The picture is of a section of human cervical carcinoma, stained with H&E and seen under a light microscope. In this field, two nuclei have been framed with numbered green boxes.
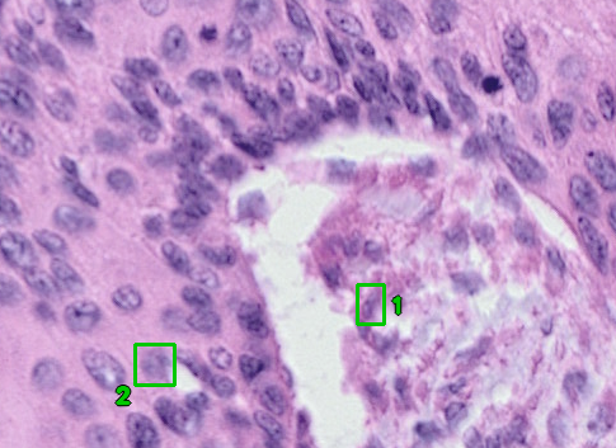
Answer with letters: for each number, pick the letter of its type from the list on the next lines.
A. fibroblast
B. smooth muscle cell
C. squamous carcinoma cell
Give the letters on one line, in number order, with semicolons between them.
A; C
